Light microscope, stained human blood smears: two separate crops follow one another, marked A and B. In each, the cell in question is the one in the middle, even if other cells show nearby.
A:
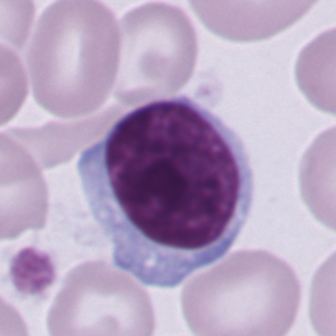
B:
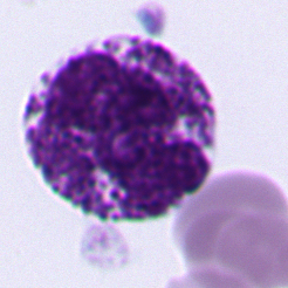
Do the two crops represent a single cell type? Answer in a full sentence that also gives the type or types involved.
No, just to correct that: crop A shows a lymphocyte, crop B shows a basophil.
